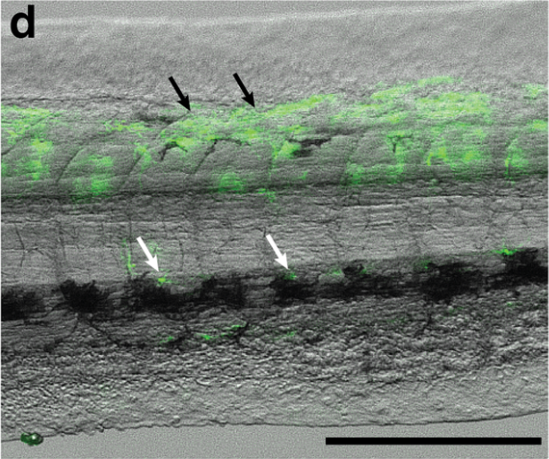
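A side view of a larval fish trunk shows green fluorescent cells and dark pigment cells against the segmented muscle blocks. Most green cells cluster as patchy, irregular spots in the upper band of the trunk, above the midline. The chevron-shaped muscle segments are faintly visible in grey throughout, and the green cells have fuzzy outlines rather than sharp, rounded shapes.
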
